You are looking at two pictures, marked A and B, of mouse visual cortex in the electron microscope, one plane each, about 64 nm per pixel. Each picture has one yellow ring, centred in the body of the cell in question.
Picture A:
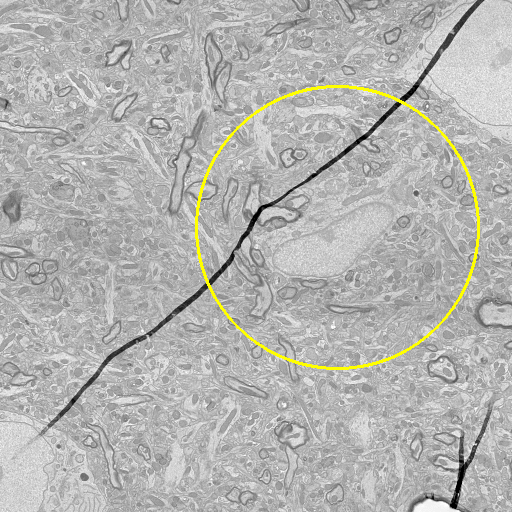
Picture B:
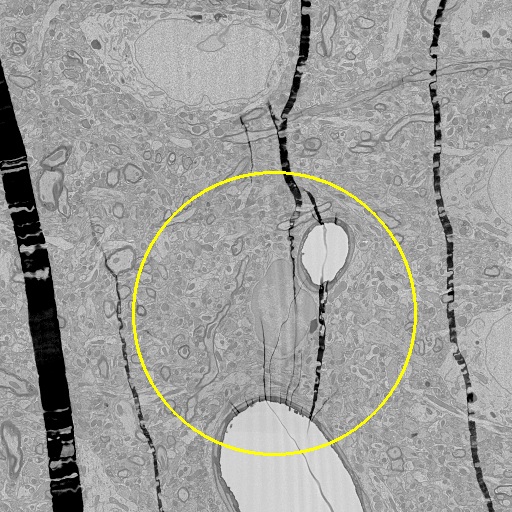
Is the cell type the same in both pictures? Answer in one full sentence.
No. Picture A shows an astrocyte, but picture B shows a microglial cell.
